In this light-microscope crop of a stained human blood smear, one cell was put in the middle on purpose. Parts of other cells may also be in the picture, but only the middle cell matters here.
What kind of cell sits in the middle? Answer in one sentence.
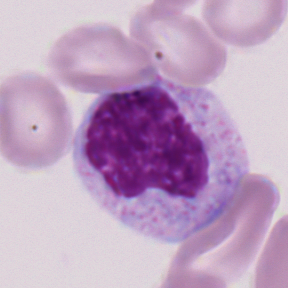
Present in the middle of the crop is a metamyelocyte.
